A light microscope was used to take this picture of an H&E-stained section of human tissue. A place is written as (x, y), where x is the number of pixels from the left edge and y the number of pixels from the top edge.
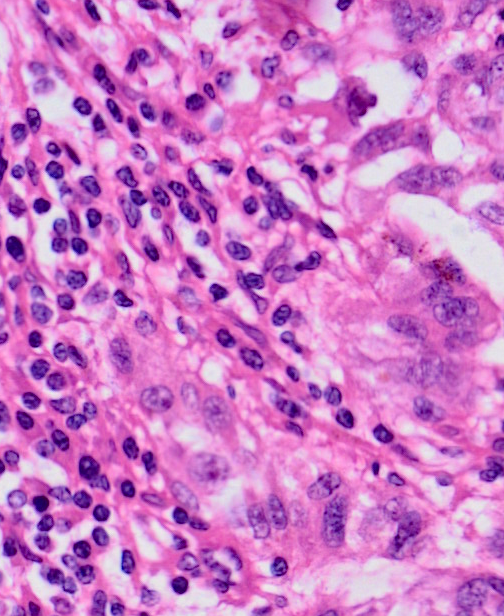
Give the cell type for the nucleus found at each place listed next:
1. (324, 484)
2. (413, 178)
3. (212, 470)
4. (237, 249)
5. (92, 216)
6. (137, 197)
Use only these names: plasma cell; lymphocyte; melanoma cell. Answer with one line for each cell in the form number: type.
1: melanoma cell
2: melanoma cell
3: melanoma cell
4: lymphocyte
5: lymphocyte
6: lymphocyte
